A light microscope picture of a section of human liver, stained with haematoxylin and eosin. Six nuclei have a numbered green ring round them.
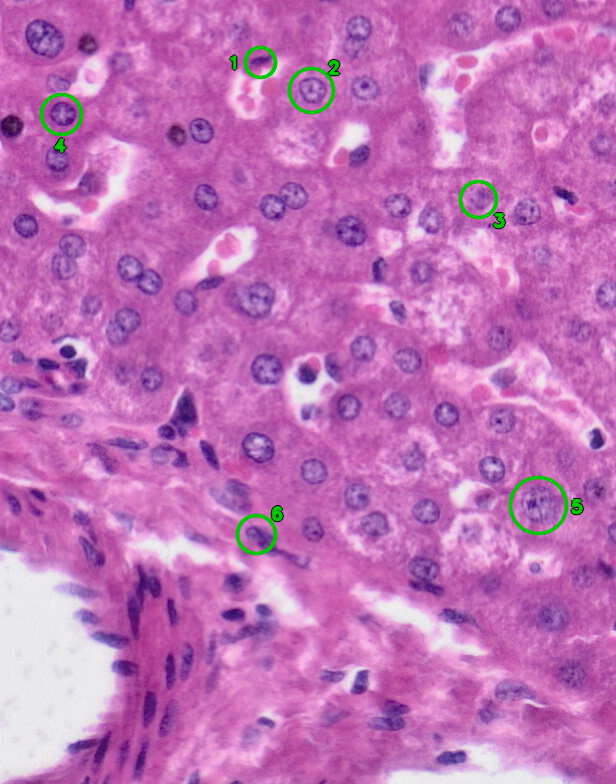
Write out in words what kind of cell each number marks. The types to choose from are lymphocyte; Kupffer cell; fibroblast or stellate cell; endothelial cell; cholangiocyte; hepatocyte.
Cell 1 is an endothelial cell. Cells 2, 3, 4 and 5 are hepatocytes. Cell 6 is a fibroblast or stellate cell.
